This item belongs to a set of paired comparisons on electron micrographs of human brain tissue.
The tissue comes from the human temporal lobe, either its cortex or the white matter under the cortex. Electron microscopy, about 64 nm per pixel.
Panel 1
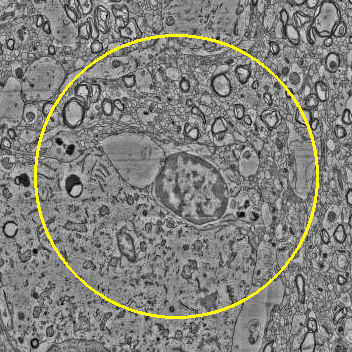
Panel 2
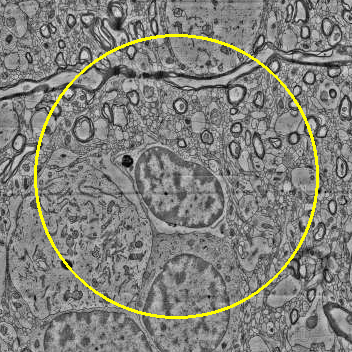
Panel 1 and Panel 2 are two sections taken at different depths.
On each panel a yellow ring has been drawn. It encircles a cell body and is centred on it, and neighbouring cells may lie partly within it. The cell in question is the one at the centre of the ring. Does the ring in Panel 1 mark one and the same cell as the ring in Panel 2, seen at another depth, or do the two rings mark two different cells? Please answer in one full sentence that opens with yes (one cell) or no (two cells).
Yes, one cell appears twice, once in each ring.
